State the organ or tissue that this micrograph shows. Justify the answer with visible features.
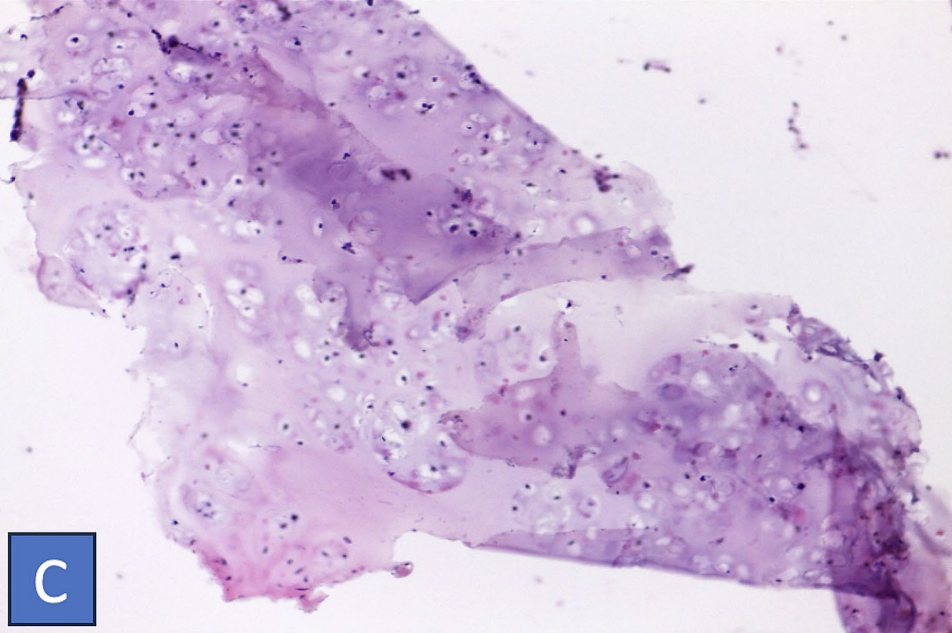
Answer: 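Hyaline cartilaginous tissue. Pale, glassy pink-purple matrix without fibres. Small cells sitting singly or in small groups within clear spaces in the matrix.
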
